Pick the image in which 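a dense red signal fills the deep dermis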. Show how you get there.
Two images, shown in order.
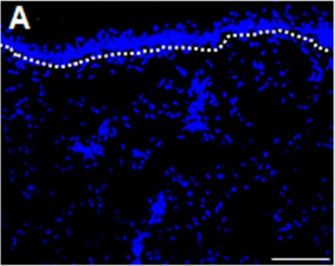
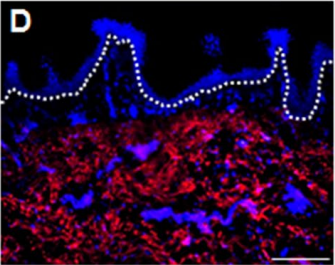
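The second image. Second image: a broad, dense red meshwork occupies the lower dermis. First image: the dermis shows blue nuclei with essentially no red.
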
